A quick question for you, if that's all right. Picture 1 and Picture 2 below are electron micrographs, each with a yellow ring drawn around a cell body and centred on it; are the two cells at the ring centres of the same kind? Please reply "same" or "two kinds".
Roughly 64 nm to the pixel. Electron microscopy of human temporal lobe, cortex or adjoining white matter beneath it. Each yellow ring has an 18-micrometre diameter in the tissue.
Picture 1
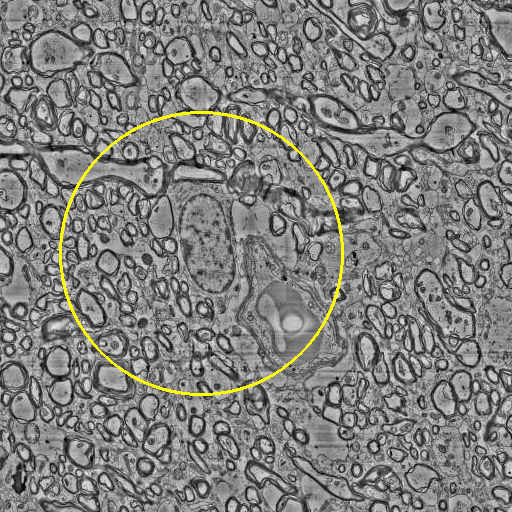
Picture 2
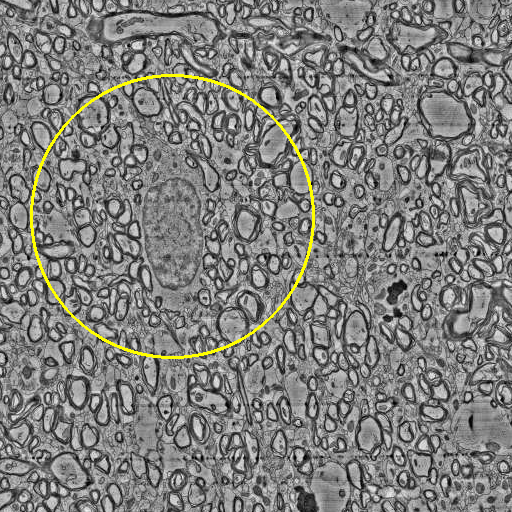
two kinds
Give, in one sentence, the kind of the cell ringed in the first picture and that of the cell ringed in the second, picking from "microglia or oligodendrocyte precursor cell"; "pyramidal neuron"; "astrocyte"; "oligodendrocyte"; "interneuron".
For the first picture it is a microglial cell or oligodendrocyte precursor cell; for the second, an oligodendrocyte.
